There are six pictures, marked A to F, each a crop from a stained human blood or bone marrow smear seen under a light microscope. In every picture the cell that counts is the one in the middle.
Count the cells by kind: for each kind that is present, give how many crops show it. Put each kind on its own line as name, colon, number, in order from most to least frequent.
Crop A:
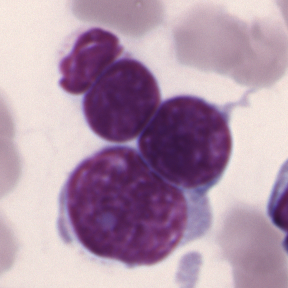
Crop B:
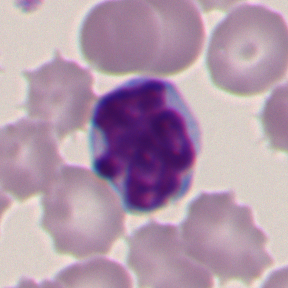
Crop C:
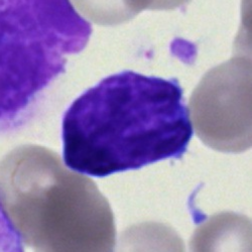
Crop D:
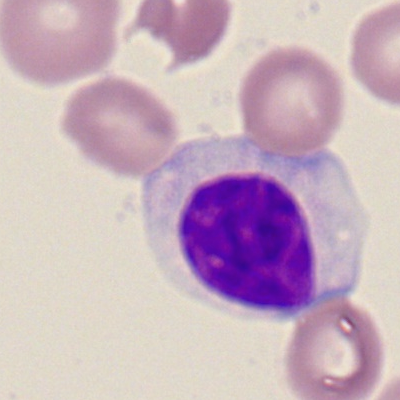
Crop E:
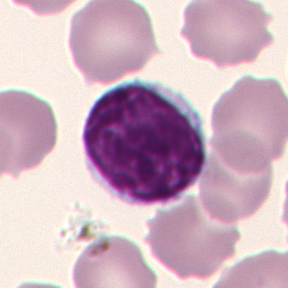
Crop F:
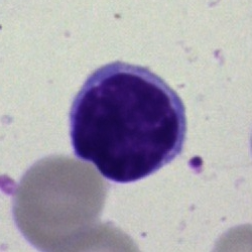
lymphocyte: 4
blast: 2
